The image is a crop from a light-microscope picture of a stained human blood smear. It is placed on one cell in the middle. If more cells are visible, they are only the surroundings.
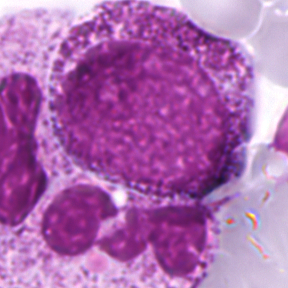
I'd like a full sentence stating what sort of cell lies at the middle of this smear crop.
The cell at the middle of the crop is recognized as a promyelocyte.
